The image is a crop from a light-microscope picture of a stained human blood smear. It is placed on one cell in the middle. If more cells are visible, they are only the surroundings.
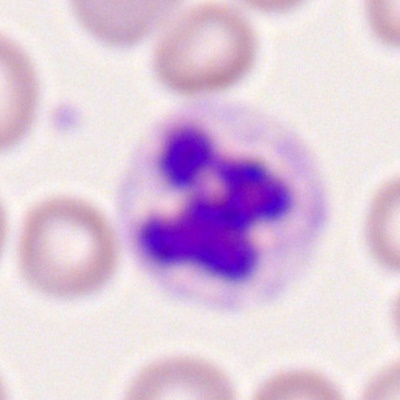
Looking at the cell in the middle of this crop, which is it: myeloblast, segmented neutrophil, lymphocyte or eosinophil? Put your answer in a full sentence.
The cell shown in the center of this light-microscope crop is a segmented neutrophil.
